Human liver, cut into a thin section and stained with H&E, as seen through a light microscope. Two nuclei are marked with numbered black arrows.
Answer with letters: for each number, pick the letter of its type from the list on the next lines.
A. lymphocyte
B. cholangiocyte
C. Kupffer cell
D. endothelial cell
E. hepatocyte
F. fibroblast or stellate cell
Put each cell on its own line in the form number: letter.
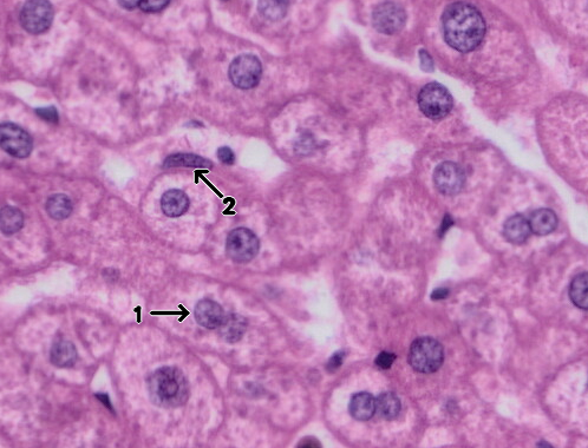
1: E
2: C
